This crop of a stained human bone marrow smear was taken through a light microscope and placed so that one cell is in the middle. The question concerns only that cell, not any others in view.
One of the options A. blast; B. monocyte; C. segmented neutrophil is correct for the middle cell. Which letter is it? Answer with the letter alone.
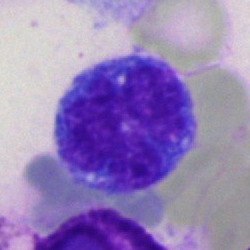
B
